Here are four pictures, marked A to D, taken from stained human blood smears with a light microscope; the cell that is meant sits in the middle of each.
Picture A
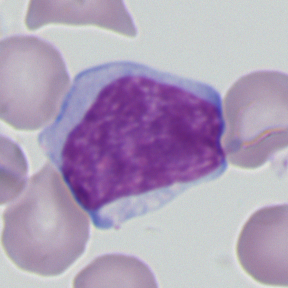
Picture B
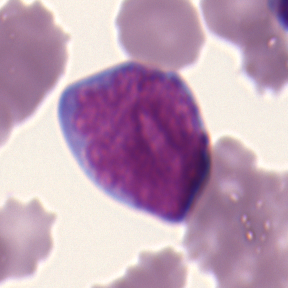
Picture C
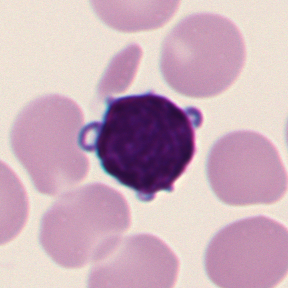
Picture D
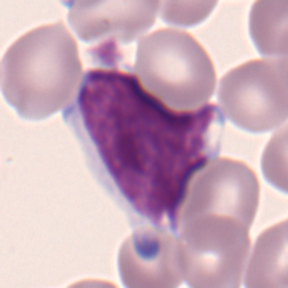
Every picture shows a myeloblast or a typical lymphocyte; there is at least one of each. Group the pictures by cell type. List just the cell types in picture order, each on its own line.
myeloblast
myeloblast
typical lymphocyte
typical lymphocyte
